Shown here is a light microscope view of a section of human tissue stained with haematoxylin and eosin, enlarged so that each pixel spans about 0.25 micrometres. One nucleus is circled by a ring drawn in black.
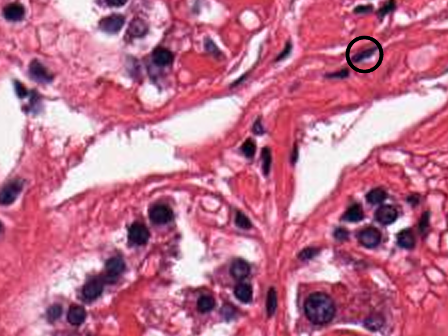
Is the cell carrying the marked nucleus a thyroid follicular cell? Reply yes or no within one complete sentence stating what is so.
No, rather than a thyroid follicular cell, it is a supporting cell that contains the marked nucleus.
